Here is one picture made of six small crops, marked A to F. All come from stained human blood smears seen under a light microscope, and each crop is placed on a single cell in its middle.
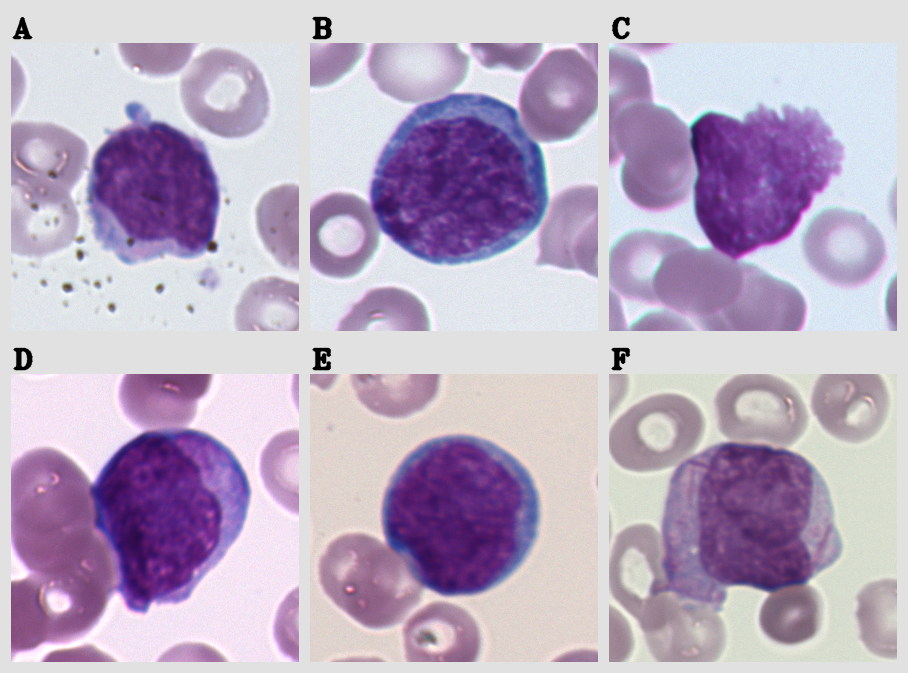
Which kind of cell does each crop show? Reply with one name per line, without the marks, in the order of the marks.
atypical promyelocyte
myeloblast
smudge cell
atypical promyelocyte
myeloblast
atypical promyelocyte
